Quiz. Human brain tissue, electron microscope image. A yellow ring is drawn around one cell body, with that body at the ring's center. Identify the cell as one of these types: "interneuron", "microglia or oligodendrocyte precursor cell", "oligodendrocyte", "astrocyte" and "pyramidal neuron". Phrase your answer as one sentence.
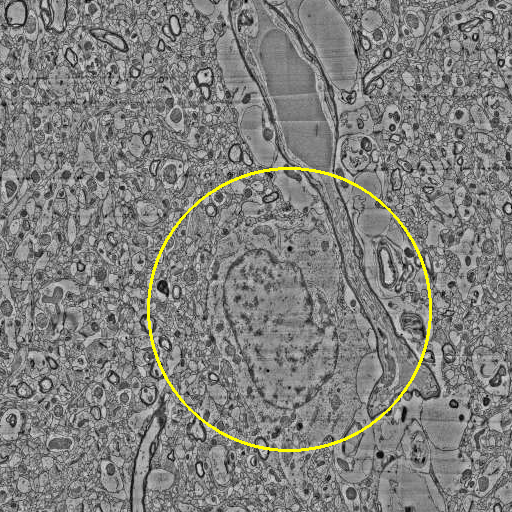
At the center of the ring sits an interneuron.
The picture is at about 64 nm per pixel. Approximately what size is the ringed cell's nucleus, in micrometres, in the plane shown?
Roughly 10 by 7 micrometres; in this plane, clearly longer than it is wide.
